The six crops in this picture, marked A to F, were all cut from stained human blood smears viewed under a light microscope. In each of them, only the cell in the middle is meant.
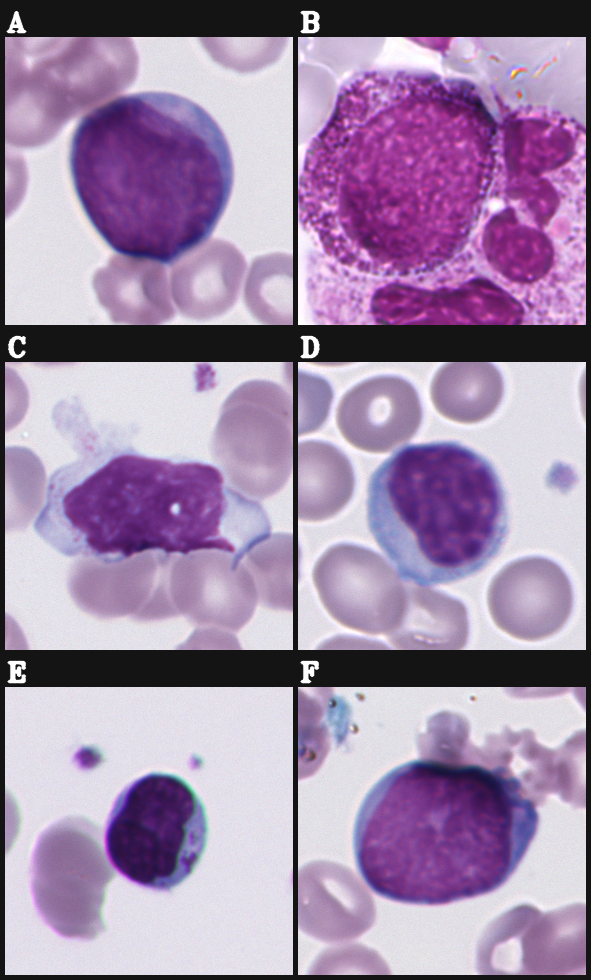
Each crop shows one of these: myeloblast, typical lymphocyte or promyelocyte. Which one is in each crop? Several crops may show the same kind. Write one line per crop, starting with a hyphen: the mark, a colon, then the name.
- A: myeloblast
- B: promyelocyte
- C: typical lymphocyte
- D: typical lymphocyte
- E: typical lymphocyte
- F: myeloblast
